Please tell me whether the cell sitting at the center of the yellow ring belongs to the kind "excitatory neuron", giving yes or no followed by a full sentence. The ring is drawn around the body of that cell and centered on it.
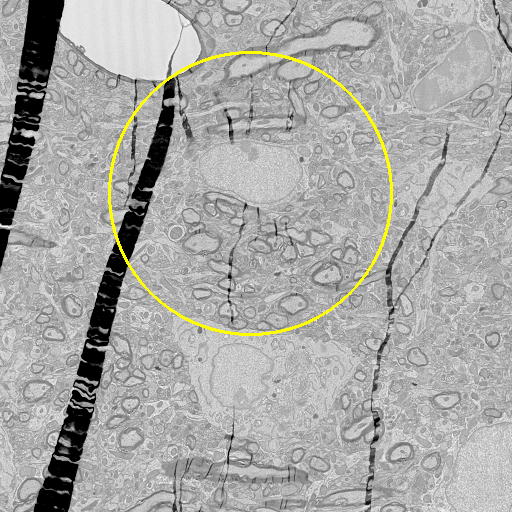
No, the cell at the center of the ring in the picture is of another kind.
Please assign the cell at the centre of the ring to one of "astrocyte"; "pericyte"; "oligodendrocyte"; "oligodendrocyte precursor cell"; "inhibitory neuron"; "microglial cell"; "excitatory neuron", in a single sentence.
The cell that the ring is centred on is an astrocyte.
